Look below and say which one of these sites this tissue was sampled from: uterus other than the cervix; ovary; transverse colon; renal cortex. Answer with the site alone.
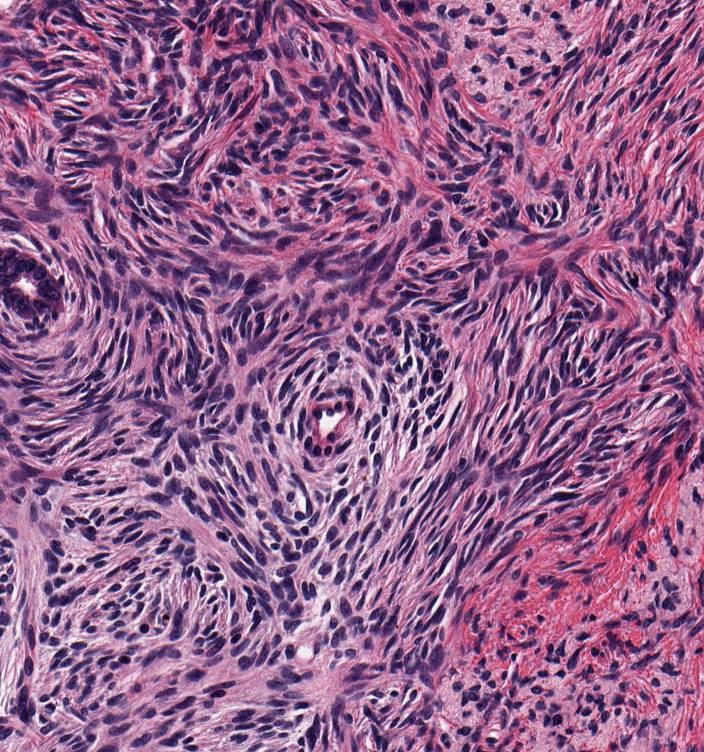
ovary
